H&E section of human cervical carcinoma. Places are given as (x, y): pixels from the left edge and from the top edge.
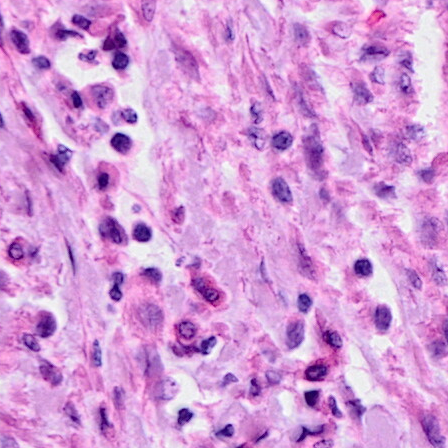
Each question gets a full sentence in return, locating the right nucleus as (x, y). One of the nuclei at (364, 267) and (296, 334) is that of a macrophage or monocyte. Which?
The nucleus positioned at (296, 334) forms part of a macrophage or monocyte.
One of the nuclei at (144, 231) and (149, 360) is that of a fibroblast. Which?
The nucleus that belongs to a fibroblast is located at (149, 360).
